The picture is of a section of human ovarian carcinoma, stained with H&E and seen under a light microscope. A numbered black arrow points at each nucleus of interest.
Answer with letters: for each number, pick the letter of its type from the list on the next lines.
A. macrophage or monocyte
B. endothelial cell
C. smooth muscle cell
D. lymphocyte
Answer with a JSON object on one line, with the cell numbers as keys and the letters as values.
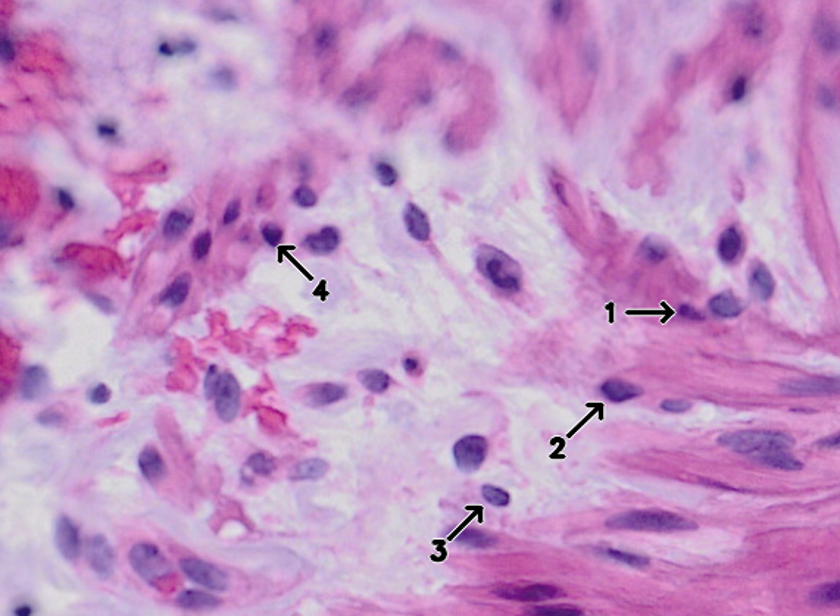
{"1": "C", "2": "C", "3": "D", "4": "C"}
